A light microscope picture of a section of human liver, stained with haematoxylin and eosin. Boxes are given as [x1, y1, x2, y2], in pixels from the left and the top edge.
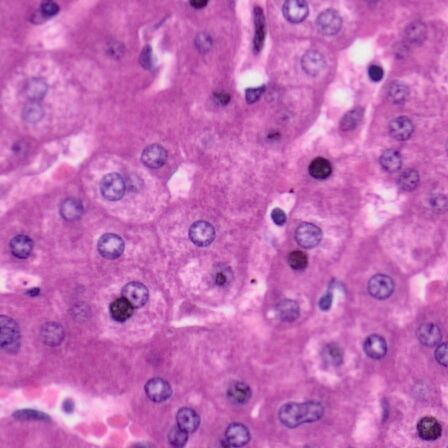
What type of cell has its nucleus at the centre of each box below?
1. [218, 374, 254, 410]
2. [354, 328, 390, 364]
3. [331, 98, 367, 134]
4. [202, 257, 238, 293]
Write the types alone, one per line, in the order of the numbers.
hepatocyte
hepatocyte
Kupffer cell
hepatocyte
